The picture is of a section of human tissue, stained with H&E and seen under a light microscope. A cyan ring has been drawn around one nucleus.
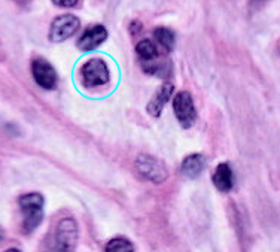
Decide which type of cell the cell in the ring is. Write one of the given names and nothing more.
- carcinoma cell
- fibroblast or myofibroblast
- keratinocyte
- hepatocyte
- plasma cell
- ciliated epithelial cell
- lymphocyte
lymphocyte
